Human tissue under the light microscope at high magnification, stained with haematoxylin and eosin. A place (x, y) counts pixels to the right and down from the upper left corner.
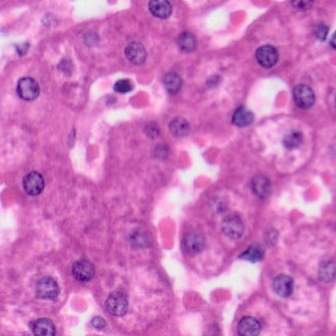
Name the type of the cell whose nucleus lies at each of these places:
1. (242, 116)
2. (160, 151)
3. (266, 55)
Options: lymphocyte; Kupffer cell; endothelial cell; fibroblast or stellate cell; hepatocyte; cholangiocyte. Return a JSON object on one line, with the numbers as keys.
{"1": "fibroblast or stellate cell", "2": "hepatocyte", "3": "hepatocyte"}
